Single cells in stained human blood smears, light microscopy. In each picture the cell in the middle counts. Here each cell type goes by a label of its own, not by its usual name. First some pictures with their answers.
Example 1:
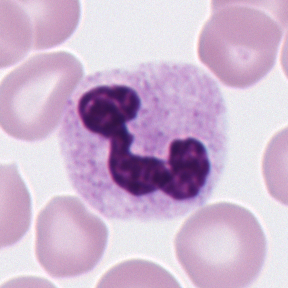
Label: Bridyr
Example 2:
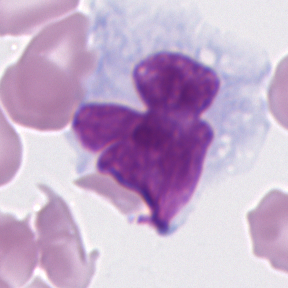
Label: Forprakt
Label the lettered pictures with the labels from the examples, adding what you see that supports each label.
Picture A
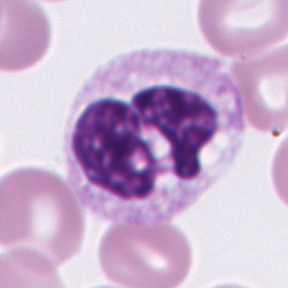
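Bridyr. Reason: The nucleus is divided into two main lobes lying side by side.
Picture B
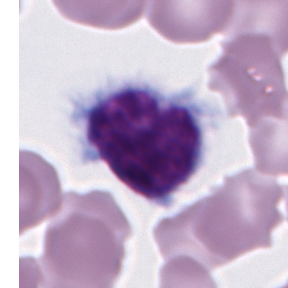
Forprakt. Reason: The cytoplasm forms only a thin rim around the nucleus.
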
